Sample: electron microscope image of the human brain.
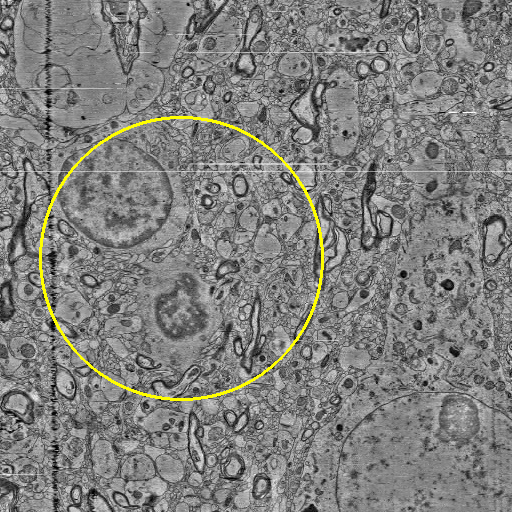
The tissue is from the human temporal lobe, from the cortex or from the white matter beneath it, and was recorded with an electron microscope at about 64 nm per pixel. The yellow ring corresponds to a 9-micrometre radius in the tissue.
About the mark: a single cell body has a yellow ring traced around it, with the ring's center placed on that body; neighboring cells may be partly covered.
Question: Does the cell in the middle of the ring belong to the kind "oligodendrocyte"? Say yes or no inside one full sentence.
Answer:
Yes, the cell at the ring's center in this image belongs to that kind.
